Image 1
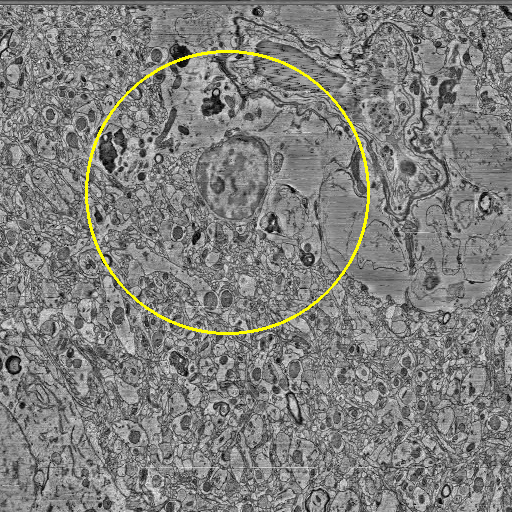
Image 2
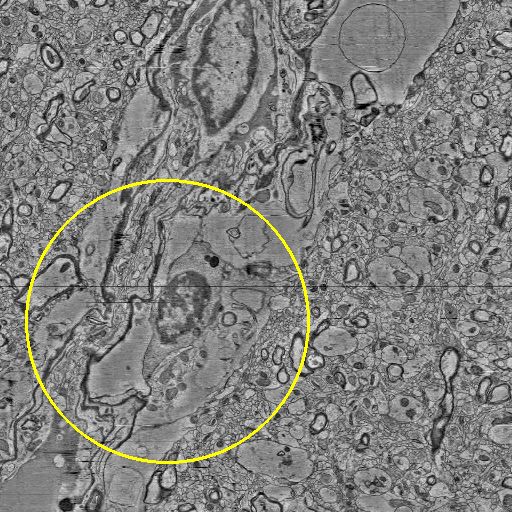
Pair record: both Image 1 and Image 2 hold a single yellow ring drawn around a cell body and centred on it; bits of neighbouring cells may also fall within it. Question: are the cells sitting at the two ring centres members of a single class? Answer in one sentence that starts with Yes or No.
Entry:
Yes, both ring-centre cells in Image 1 and Image 2 are members of one class.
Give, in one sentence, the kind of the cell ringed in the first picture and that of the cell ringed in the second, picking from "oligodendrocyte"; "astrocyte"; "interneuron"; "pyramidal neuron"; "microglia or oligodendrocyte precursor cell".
Each cell at the centre of a ring is an oligodendrocyte.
